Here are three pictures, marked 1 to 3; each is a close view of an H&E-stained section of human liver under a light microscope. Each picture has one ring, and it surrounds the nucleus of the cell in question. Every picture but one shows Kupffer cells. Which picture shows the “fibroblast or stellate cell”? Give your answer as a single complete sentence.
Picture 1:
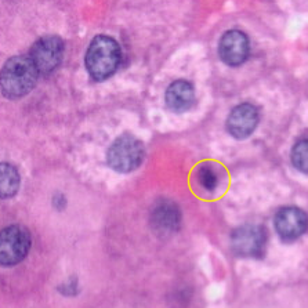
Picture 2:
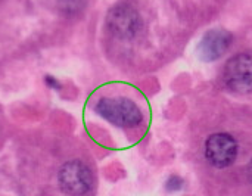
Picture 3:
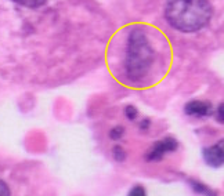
The picture with the “fibroblast or stellate cell” is 1.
